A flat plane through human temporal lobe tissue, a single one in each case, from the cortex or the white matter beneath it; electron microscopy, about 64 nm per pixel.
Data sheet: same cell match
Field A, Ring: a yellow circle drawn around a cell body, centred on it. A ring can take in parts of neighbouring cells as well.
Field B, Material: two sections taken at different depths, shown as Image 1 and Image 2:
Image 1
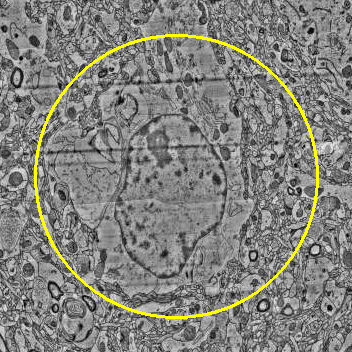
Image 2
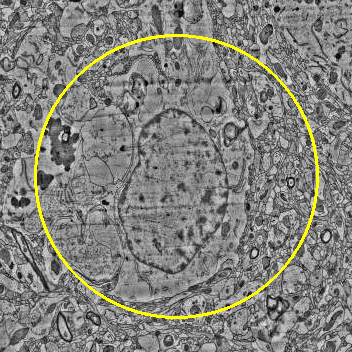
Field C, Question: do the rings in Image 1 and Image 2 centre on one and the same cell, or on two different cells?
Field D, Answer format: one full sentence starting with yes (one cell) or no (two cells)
Yes, one cell appears twice, once in each ring.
